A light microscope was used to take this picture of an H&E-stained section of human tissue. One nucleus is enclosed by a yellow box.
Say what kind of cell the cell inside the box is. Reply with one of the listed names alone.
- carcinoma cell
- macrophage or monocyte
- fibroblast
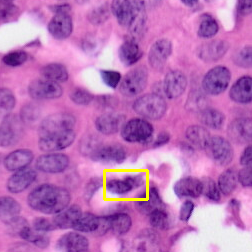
carcinoma cell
